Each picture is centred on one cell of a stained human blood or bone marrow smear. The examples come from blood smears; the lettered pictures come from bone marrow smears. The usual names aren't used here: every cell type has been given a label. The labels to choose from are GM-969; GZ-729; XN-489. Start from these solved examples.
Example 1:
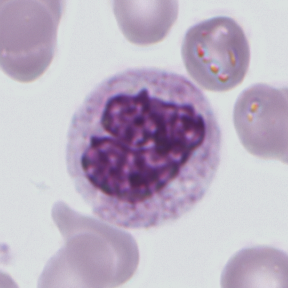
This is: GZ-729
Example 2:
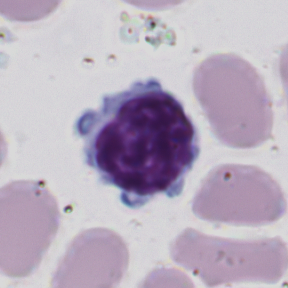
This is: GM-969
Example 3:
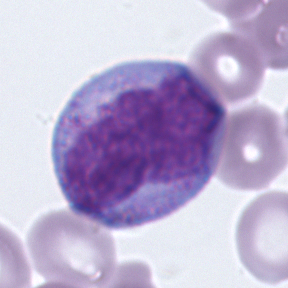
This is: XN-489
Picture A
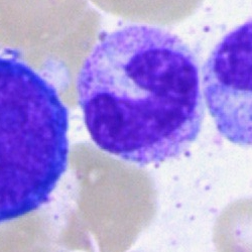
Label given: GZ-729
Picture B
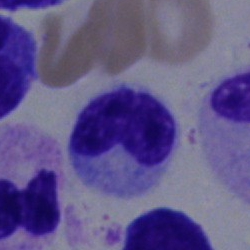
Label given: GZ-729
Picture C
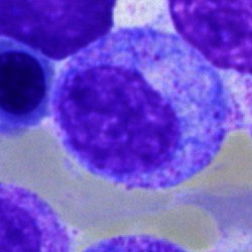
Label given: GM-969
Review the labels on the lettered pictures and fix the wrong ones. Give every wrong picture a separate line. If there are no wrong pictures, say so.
C: change GM-969 to XN-489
